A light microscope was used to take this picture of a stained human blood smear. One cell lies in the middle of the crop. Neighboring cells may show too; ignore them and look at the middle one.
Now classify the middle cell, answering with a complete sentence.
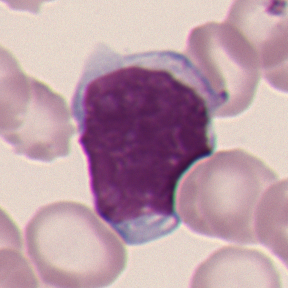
Classification of the middle cell gives a lymphocyte.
